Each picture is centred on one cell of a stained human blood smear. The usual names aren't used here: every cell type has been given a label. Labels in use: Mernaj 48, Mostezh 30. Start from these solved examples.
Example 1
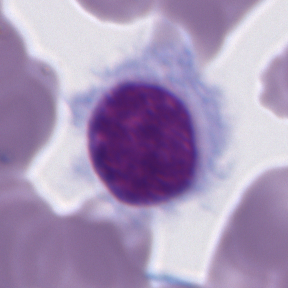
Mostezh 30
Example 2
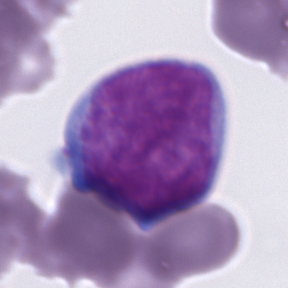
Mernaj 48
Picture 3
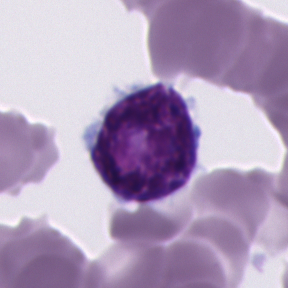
Mostezh 30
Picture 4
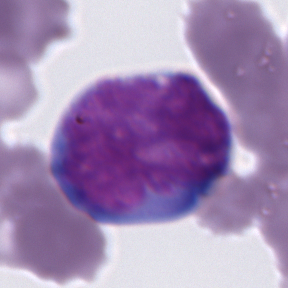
Mernaj 48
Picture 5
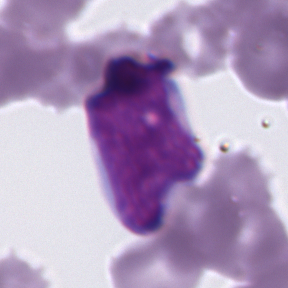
Mernaj 48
